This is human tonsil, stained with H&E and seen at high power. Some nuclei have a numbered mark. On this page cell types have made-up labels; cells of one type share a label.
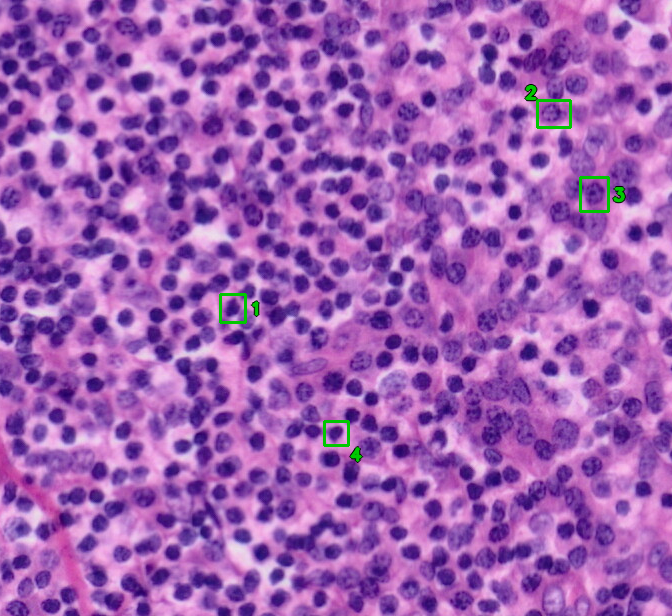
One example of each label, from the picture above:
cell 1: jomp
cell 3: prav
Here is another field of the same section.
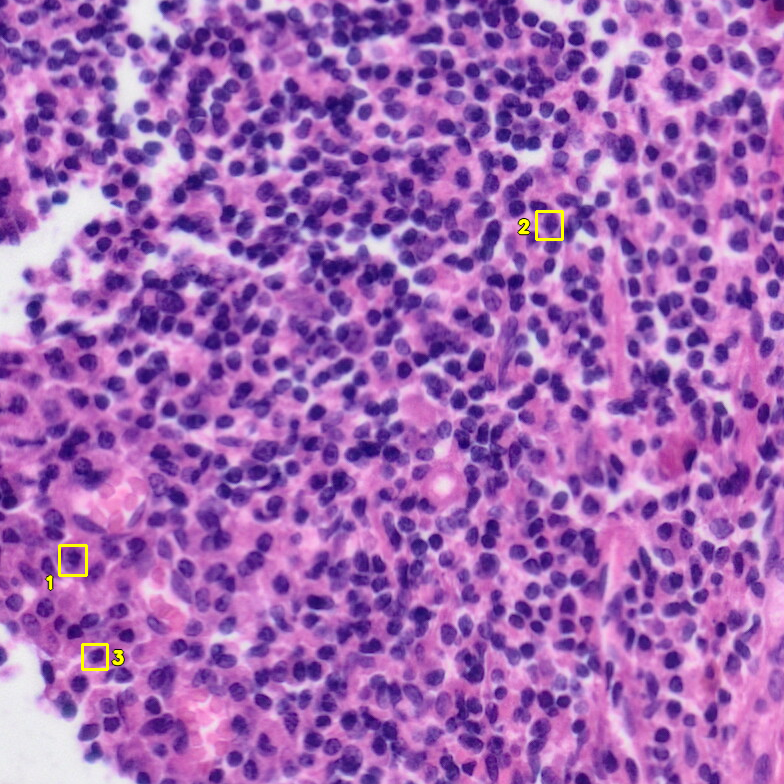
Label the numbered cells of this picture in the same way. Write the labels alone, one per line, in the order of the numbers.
prav
jomp
prav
